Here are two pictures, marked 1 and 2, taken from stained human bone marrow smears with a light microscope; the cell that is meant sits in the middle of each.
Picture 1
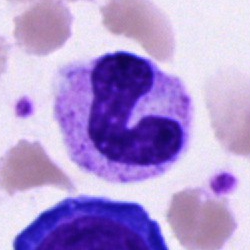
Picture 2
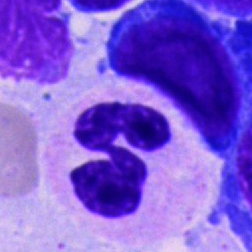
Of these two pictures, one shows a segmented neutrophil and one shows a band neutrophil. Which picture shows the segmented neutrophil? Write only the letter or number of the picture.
2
